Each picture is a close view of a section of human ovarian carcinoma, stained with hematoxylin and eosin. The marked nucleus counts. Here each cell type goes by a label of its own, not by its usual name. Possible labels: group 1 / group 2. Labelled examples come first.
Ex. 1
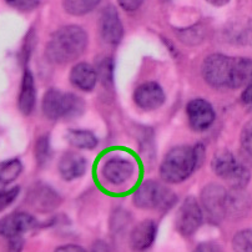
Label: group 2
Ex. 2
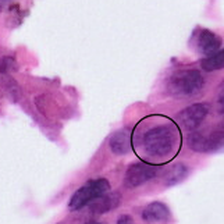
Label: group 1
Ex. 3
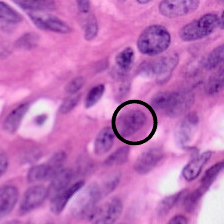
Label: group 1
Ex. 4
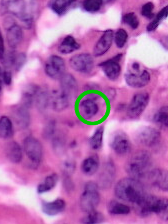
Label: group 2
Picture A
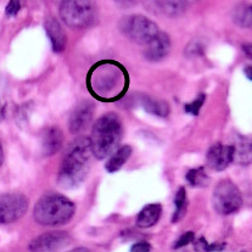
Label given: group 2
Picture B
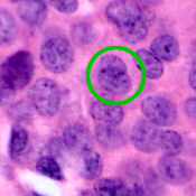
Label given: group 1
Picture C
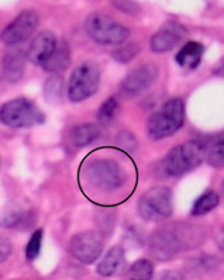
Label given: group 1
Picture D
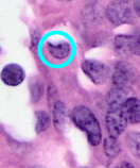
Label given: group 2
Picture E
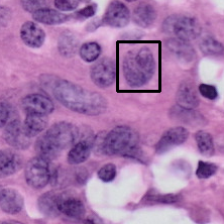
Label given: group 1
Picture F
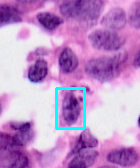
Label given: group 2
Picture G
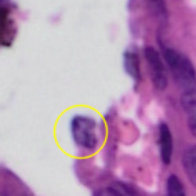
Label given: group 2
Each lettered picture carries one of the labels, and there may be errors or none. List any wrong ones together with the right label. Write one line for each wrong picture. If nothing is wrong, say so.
A should be group 1, not group 2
